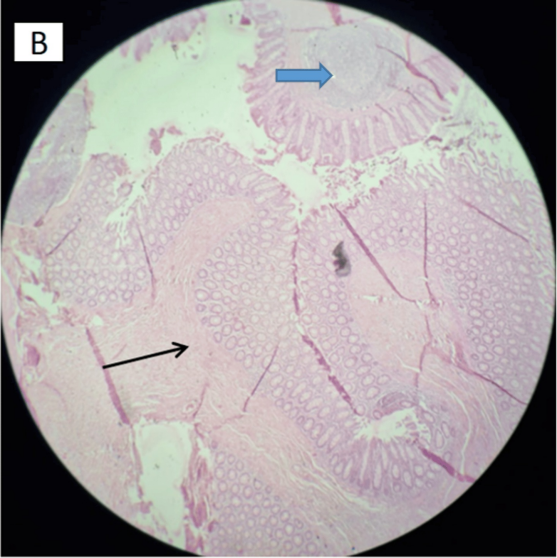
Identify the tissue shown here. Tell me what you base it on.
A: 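Mucosa made of closely packed, straight, round-profiled glands. Glands cut in cross section appear as regular rings with pale mucin-rich lining. No villi are seen. The answer: Colonic mucosa.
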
